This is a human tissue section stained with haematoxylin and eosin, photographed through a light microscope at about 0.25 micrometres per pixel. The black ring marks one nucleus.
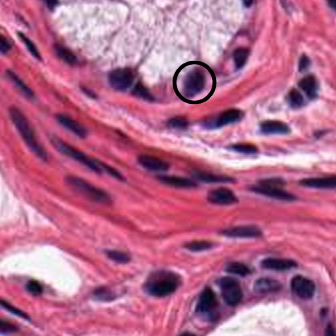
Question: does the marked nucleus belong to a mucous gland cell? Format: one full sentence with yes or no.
Yes, a mucous gland cell contains the marked nucleus.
